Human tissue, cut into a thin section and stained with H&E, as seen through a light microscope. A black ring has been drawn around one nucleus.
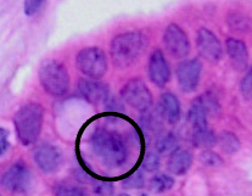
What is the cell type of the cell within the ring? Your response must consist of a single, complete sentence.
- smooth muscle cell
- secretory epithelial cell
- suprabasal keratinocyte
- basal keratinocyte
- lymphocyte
By cell type, the cell within the ring is a secretory epithelial cell.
